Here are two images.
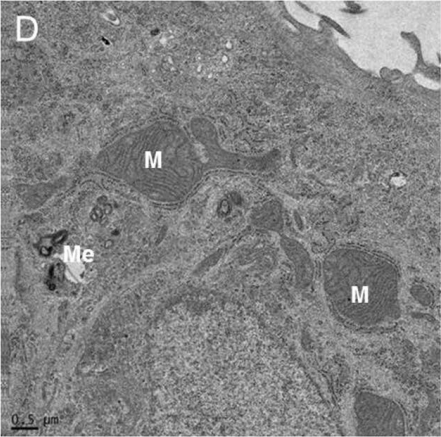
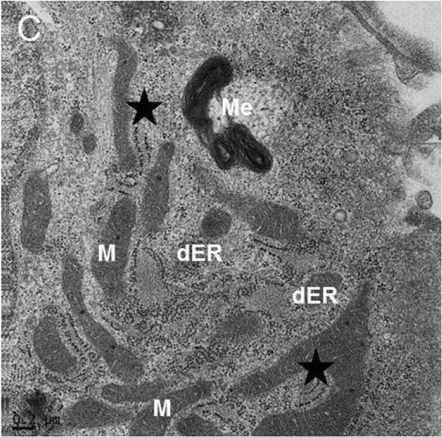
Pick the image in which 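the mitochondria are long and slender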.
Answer: the second image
